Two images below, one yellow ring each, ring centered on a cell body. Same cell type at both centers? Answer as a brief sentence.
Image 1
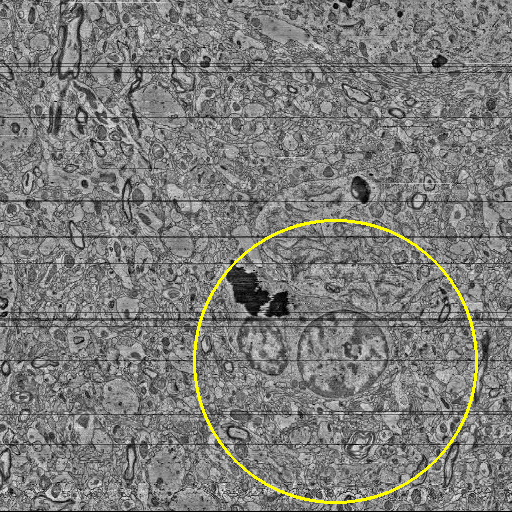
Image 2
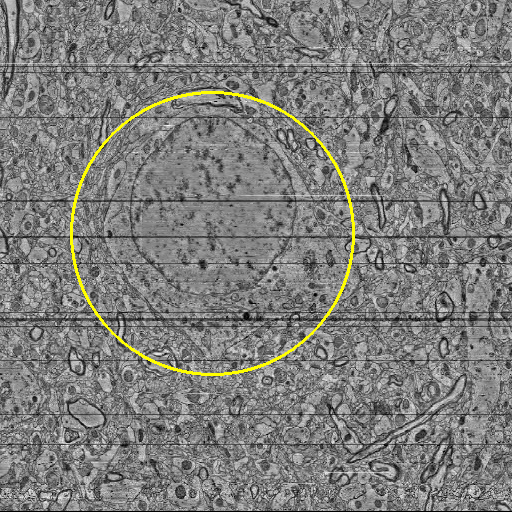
No, the cells are of two separate types.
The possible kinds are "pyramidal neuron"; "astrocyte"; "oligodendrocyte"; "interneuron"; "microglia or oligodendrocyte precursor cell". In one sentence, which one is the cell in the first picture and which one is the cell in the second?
The cell ringed in the second picture is a pyramidal neuron, whereas the one ringed in the first is an oligodendrocyte.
